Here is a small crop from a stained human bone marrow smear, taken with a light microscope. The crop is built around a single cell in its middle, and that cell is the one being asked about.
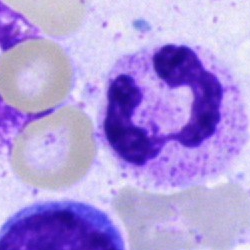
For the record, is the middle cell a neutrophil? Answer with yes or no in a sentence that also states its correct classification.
Yes, this central cell is a neutrophil.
